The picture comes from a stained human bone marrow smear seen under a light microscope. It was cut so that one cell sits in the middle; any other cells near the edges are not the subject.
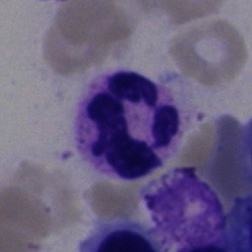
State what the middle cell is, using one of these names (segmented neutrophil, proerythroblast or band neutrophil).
segmented neutrophil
